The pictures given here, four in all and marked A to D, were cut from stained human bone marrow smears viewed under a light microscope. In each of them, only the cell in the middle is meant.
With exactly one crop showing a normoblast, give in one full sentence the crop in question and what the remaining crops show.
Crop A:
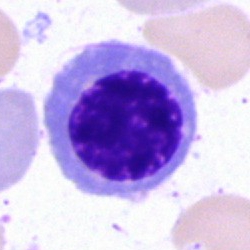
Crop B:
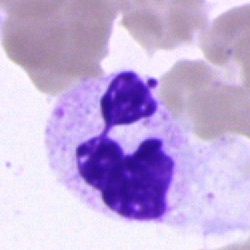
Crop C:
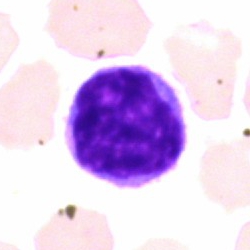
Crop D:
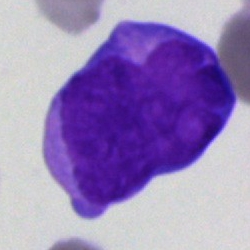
It is a normoblast that crop A shows, while crop B is a neutrophil, crop C is a lymphocyte and crop D is a blast.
